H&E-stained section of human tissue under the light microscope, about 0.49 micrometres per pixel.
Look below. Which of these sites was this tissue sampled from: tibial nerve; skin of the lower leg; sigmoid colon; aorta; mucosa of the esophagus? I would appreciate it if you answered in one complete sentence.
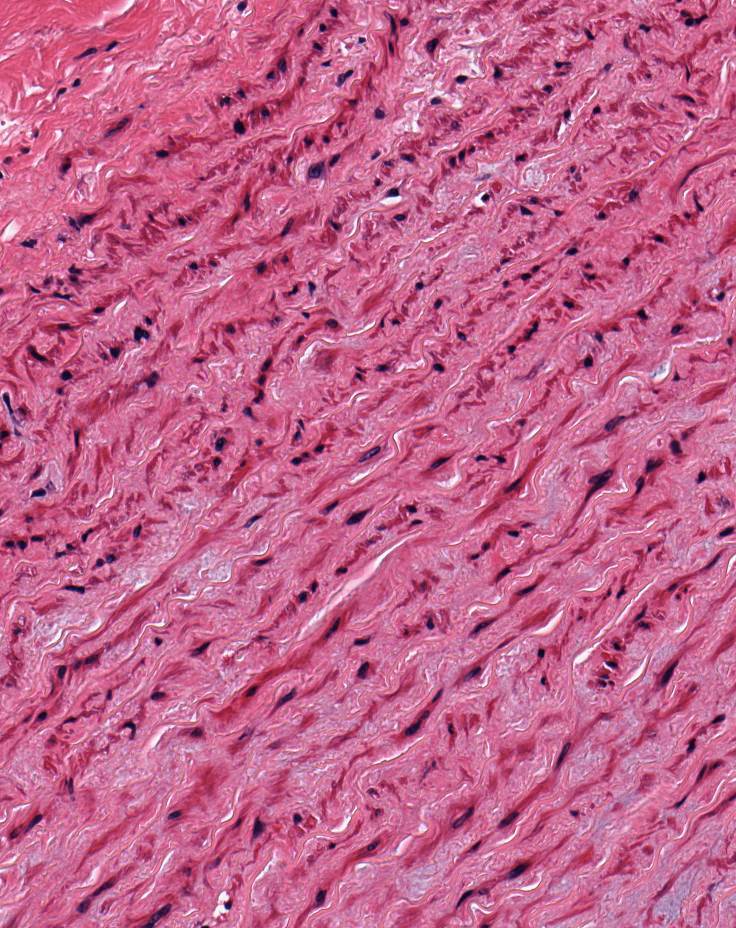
From the aorta this tissue was sampled.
